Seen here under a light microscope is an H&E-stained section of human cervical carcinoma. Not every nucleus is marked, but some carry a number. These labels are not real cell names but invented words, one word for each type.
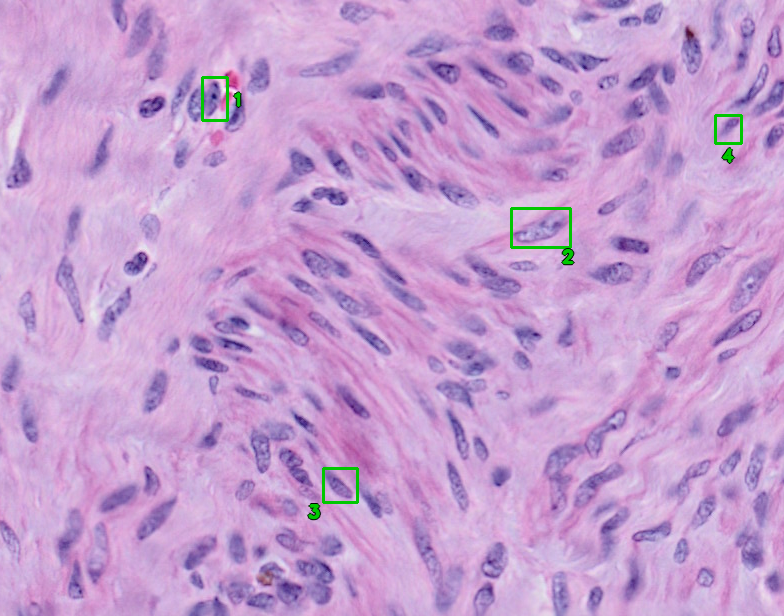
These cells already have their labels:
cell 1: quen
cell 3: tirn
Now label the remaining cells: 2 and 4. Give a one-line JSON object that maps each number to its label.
{"2": "tirn", "4": "tirn"}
